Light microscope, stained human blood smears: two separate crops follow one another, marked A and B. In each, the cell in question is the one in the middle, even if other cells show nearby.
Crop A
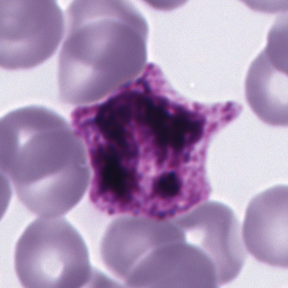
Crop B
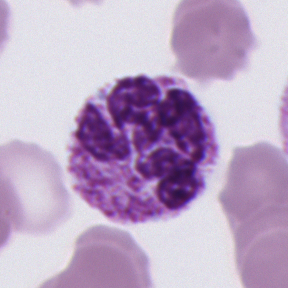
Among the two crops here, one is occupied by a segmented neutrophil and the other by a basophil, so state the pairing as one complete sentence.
Displayed in crop A is a basophil, while crop B displays a segmented neutrophil.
